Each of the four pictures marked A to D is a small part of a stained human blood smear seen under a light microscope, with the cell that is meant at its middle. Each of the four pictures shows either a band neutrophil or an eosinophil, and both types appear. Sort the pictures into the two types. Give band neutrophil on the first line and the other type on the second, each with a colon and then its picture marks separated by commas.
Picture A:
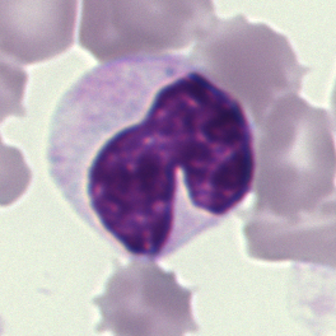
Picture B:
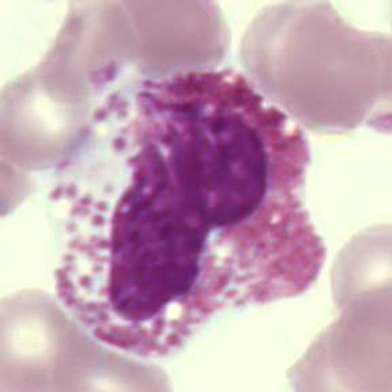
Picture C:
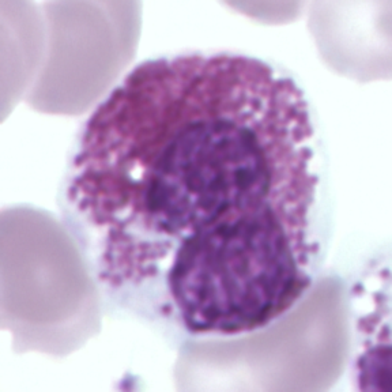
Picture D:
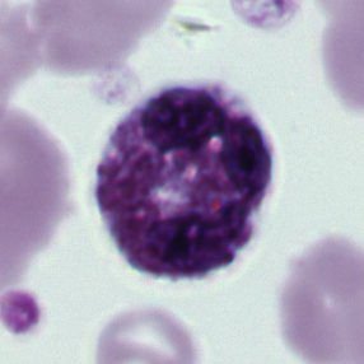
band neutrophil: A
eosinophil: B, C, D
